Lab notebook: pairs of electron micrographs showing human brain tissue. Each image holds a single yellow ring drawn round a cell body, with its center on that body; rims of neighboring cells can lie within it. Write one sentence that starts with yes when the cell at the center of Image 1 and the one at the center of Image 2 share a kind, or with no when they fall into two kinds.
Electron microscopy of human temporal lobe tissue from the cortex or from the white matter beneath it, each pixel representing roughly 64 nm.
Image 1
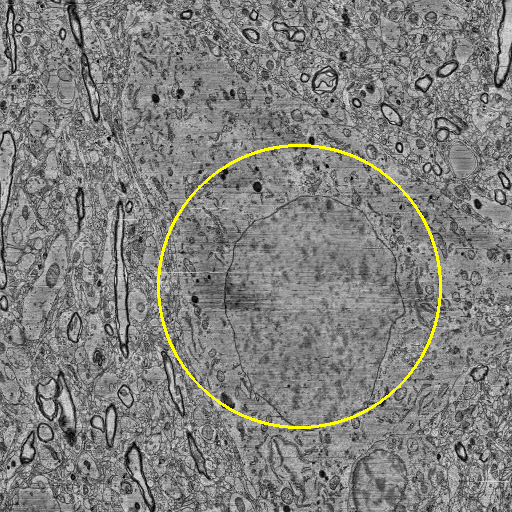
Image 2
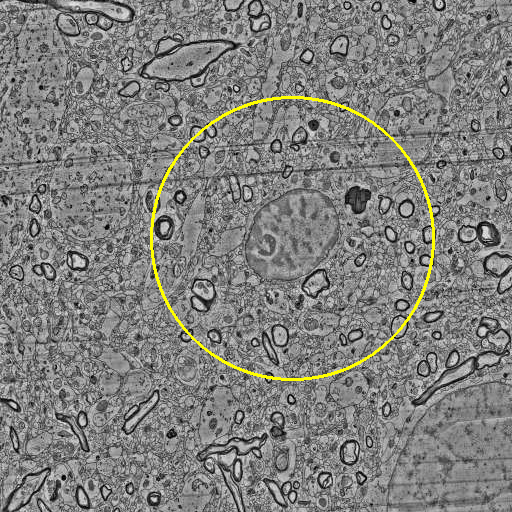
No, the centered cell in Image 1 and the centered cell in Image 2 are of two kinds.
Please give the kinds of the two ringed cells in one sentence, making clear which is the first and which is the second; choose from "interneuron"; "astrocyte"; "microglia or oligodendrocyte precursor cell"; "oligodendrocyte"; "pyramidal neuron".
In the second picture the ringed cell is an oligodendrocyte; in the first it is a pyramidal neuron.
